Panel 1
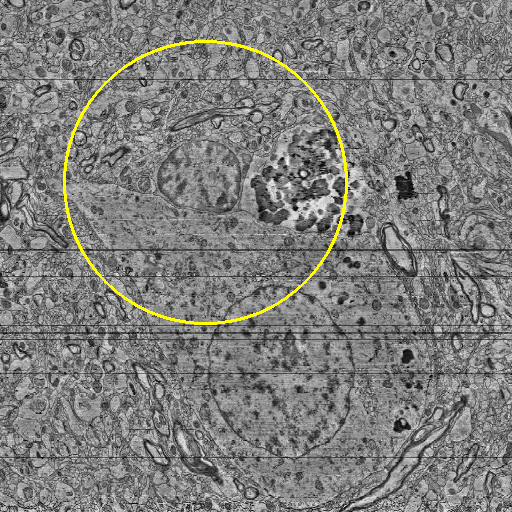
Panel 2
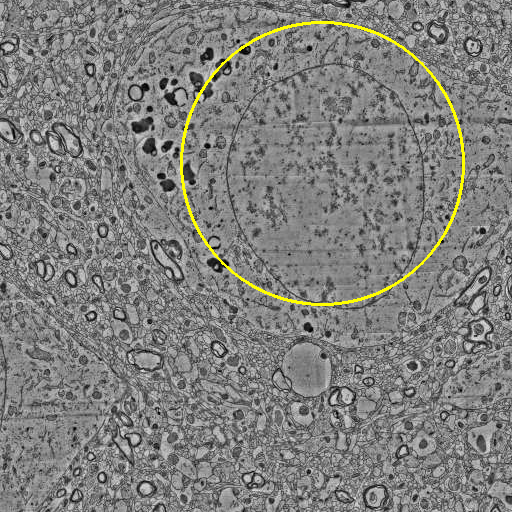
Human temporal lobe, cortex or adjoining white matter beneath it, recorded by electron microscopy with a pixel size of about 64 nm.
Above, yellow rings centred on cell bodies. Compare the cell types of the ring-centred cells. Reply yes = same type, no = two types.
no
